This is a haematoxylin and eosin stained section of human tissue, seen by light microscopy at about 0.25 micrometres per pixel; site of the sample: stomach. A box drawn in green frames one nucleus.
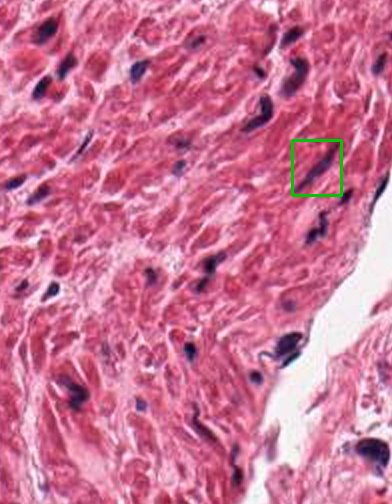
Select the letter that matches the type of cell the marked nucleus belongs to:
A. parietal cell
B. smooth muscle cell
B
